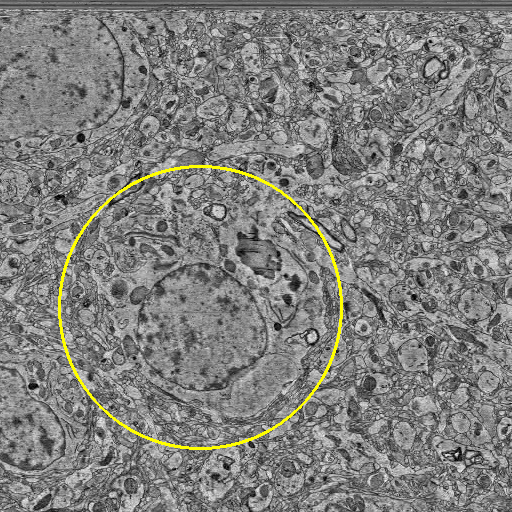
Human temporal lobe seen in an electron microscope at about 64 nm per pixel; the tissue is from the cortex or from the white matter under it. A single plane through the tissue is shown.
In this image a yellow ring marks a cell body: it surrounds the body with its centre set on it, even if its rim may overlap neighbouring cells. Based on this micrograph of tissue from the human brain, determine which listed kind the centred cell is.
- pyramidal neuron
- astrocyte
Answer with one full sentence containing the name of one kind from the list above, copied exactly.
It is an astrocyte whose body the yellow ring encloses at its centre.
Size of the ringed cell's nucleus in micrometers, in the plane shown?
In this plane the nucleus measures roughly 8 micrometres across.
